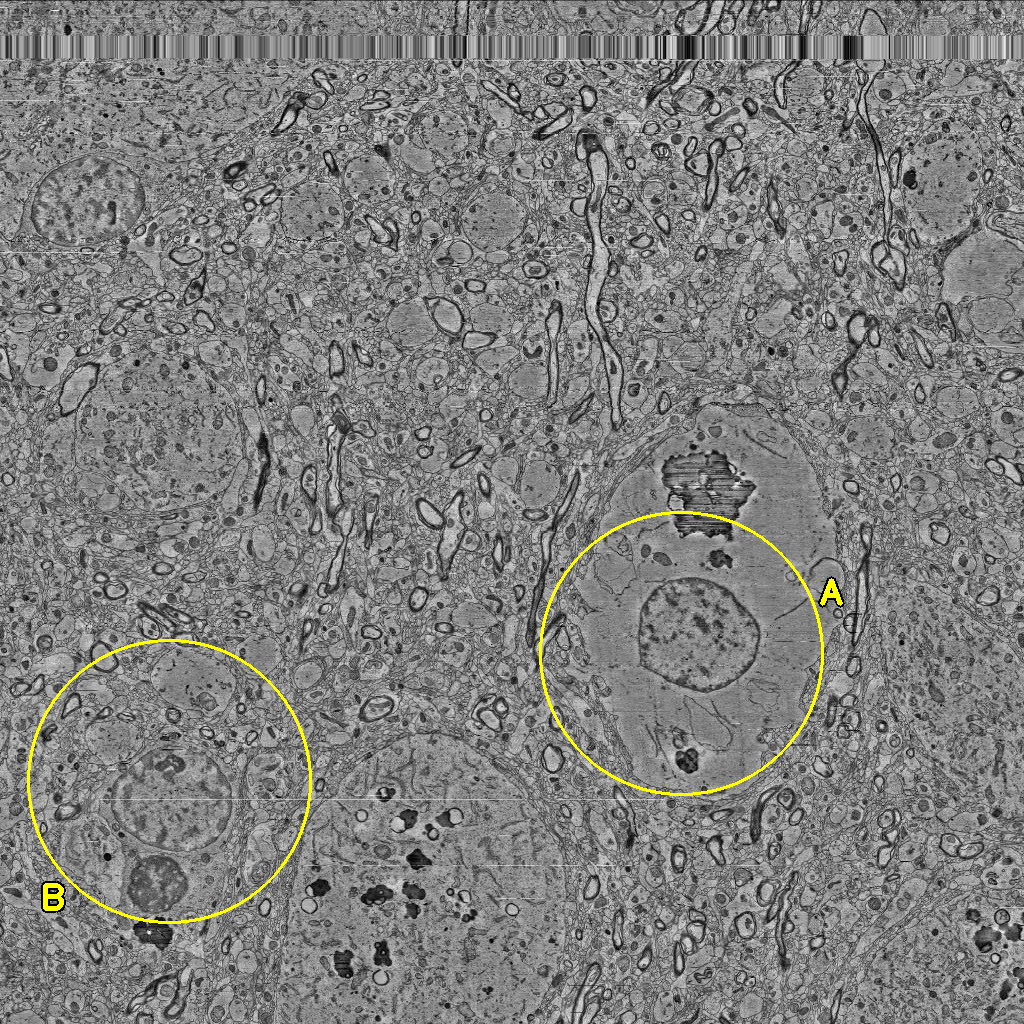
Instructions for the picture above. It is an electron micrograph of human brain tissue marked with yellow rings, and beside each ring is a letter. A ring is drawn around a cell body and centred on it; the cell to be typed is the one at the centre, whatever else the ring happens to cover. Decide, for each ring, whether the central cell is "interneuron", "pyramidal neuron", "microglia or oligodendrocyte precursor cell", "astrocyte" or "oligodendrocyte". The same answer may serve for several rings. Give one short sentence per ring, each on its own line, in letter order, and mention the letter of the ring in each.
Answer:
Ring A is drawn around an astrocyte.
Ring B is drawn around an oligodendrocyte.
